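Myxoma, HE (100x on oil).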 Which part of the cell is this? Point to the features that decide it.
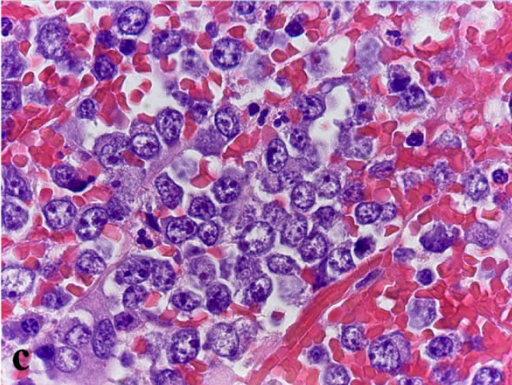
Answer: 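Conspicuous nucleoli. Large round nuclei have open, pale chromatin. Many nuclei contain distinct dark nucleoli.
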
